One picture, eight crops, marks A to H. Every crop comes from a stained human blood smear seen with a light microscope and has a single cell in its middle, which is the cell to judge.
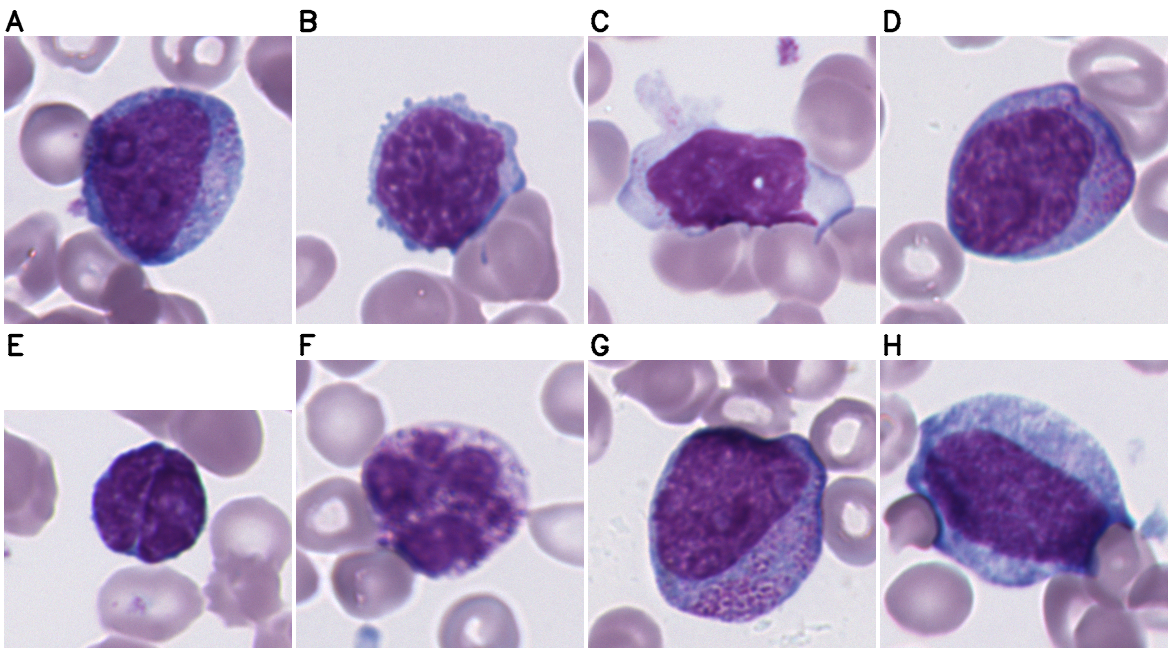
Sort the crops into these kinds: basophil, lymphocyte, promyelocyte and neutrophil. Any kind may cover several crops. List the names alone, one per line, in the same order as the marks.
promyelocyte
lymphocyte
lymphocyte
promyelocyte
lymphocyte
basophil
promyelocyte
promyelocyte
